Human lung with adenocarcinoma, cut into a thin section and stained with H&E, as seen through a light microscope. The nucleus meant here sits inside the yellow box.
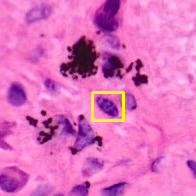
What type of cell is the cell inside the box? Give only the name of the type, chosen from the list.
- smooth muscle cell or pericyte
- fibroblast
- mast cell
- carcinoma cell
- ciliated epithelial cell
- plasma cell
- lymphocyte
mast cell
